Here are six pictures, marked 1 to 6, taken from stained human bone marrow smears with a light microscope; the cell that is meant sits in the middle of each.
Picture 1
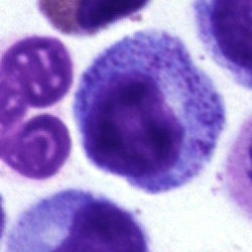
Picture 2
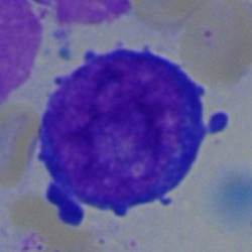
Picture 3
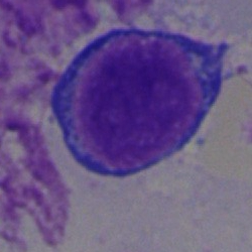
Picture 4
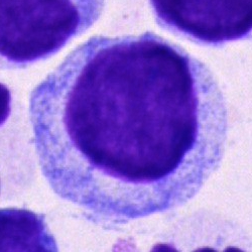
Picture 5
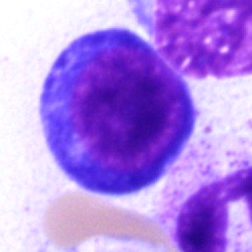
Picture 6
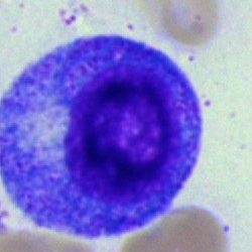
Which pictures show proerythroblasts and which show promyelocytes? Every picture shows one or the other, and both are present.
1: promyelocyte
2: proerythroblast
3: proerythroblast
4: promyelocyte
5: proerythroblast
6: promyelocyte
